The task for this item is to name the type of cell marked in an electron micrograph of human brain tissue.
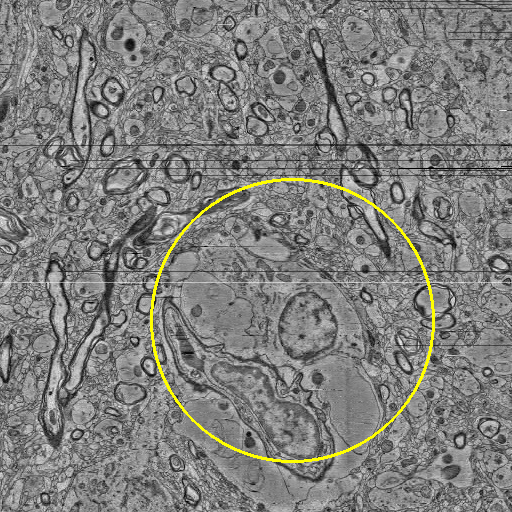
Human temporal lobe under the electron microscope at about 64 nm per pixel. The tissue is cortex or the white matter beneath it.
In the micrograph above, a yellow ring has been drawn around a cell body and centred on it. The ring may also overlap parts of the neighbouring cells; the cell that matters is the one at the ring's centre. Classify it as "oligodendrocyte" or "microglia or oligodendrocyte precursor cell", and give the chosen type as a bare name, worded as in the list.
microglia or oligodendrocyte precursor cell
